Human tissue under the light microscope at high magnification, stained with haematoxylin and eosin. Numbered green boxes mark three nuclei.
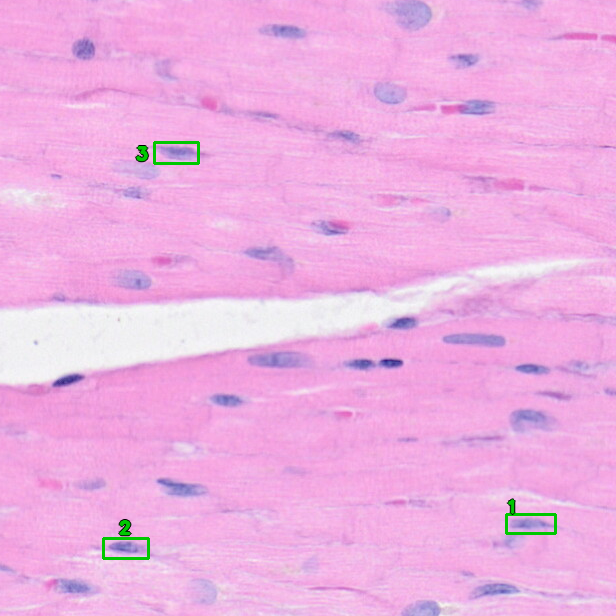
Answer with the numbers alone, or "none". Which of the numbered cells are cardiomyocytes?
none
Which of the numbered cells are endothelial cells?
2, 3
